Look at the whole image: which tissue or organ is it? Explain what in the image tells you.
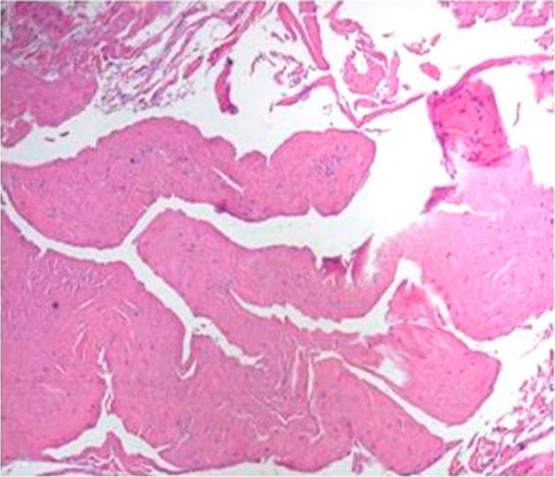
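Strands of fibrous tissue. Broad, dense, uniformly pink bands run across the field. The bands contain few, scattered small nuclei. Clefts separate the bands from one another.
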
